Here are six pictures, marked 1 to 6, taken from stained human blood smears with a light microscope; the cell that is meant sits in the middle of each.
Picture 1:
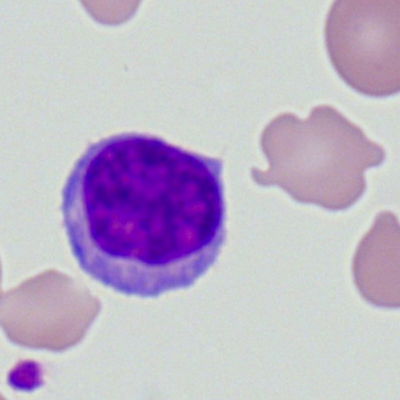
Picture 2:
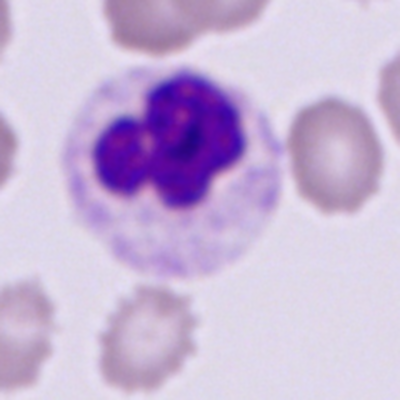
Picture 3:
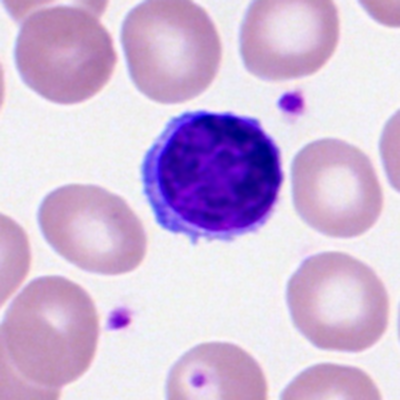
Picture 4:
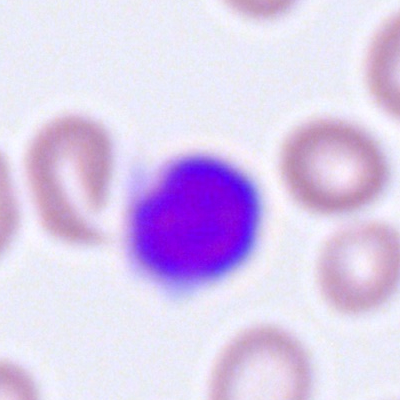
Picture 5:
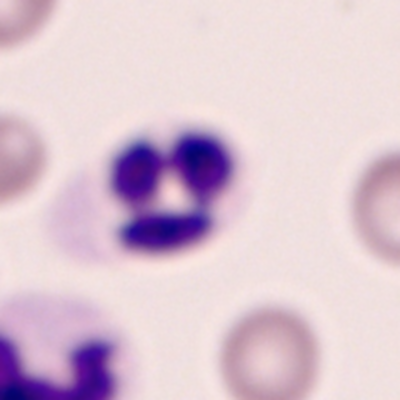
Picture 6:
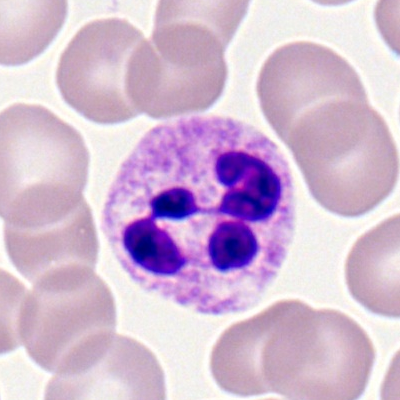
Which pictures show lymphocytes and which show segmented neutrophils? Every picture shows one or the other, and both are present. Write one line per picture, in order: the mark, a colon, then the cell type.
1: lymphocyte
2: segmented neutrophil
3: lymphocyte
4: lymphocyte
5: segmented neutrophil
6: segmented neutrophil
